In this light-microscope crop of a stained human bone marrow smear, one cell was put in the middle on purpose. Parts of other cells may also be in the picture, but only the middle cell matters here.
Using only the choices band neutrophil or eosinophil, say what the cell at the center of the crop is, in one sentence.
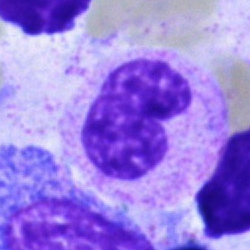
The centrally positioned cell in the crop represents a band neutrophil.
